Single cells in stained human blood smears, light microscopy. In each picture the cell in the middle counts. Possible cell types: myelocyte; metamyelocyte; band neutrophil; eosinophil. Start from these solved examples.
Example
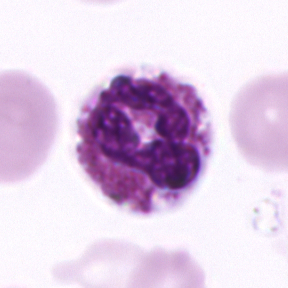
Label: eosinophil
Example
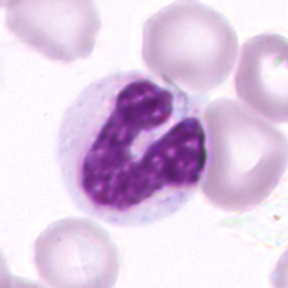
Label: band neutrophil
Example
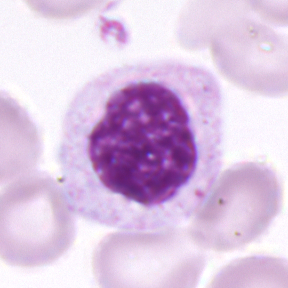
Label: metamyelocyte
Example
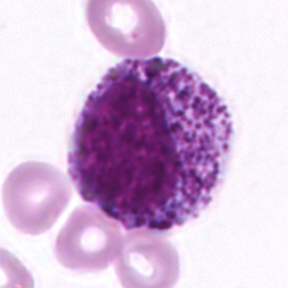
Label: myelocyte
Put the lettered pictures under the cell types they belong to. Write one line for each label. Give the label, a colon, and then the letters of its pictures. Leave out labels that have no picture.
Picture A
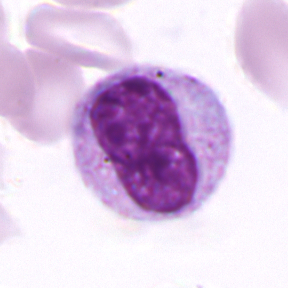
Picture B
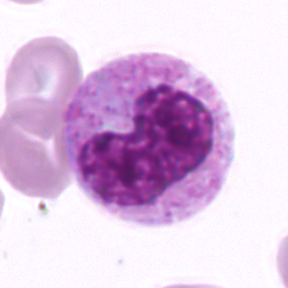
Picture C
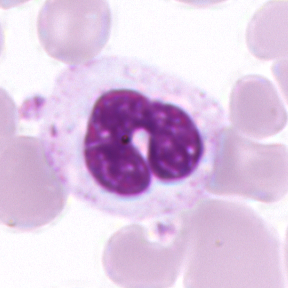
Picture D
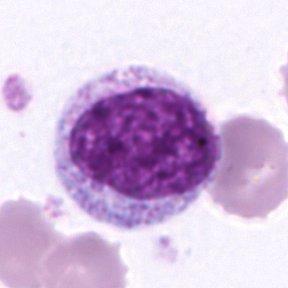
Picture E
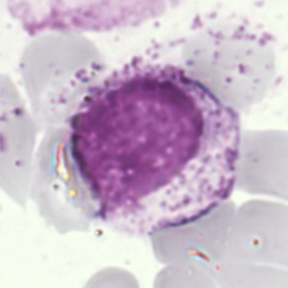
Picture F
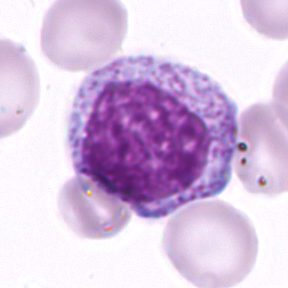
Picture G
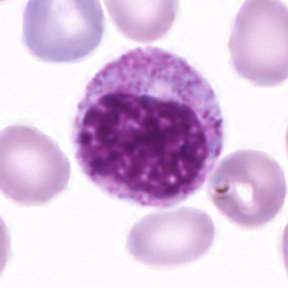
myelocyte: D, E, F, G
metamyelocyte: A, B
band neutrophil: C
